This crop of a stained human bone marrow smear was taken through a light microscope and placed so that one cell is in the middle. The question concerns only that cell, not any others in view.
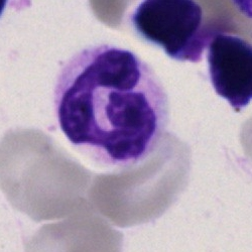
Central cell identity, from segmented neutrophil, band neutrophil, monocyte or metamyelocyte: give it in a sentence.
Classification of the middle cell gives a segmented neutrophil.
